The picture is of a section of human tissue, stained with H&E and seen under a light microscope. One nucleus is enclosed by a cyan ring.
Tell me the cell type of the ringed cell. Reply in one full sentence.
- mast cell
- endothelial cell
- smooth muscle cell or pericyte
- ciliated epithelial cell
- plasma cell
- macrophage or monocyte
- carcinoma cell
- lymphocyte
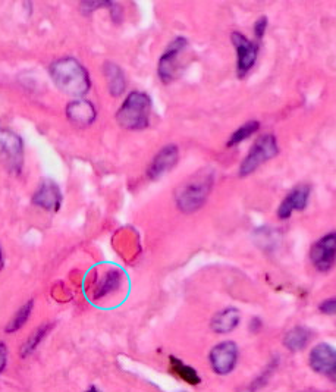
The identity of the ringed cell is that of an endothelial cell.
